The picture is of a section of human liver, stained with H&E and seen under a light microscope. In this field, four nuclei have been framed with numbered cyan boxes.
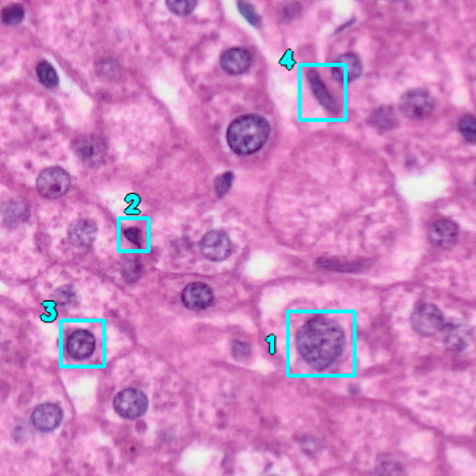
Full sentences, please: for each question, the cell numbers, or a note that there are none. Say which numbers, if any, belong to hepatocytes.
Cells 1 and 3 in the section are typed as hepatocytes.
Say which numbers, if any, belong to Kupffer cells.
Cell 4 is a Kupffer cell, while every other numbered cell is not.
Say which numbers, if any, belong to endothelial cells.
Of the numbered cells, zero are endothelial cells.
